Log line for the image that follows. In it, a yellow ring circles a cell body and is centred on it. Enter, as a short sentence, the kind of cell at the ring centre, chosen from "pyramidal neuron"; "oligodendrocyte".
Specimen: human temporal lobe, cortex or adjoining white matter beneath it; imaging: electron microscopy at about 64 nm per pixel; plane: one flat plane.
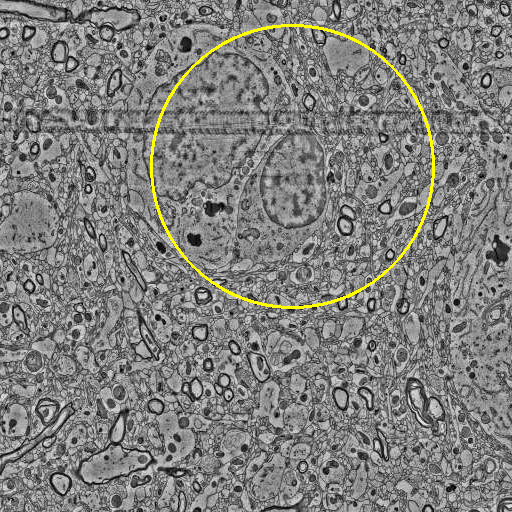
The ring centre is occupied by an oligodendrocyte.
